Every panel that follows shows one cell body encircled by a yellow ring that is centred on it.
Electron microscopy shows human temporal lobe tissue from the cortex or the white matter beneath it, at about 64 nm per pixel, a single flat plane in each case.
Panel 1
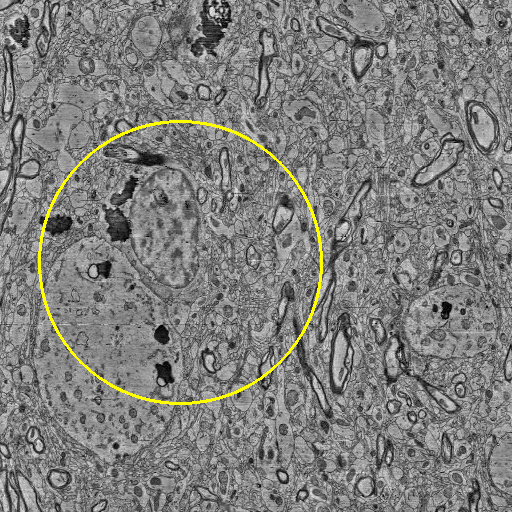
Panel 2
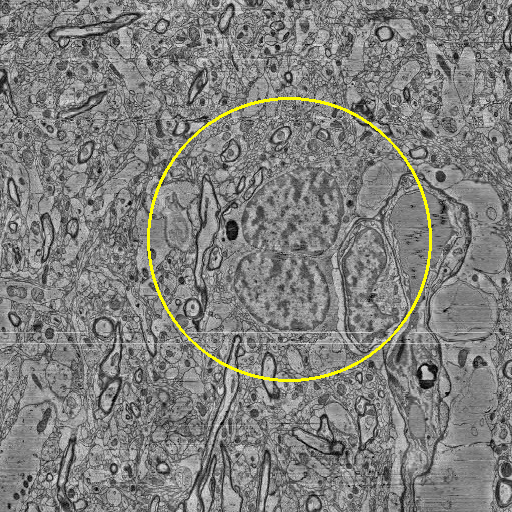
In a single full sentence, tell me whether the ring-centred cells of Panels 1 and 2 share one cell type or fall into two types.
In Panel 1 and Panel 2, the cells at the ring centres share one cell type.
